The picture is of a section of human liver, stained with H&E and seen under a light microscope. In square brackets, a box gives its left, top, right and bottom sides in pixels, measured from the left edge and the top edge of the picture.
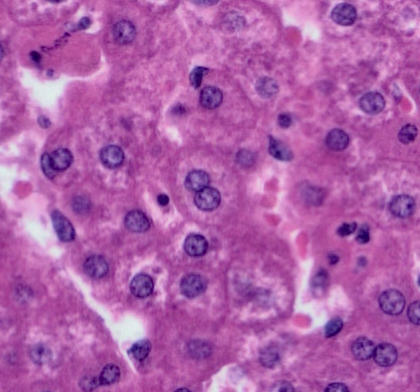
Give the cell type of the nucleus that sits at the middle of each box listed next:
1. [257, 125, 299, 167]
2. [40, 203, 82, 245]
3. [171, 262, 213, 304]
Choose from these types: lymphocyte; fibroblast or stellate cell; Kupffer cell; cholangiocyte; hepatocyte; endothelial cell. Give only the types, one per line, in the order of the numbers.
endothelial cell
Kupffer cell
hepatocyte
